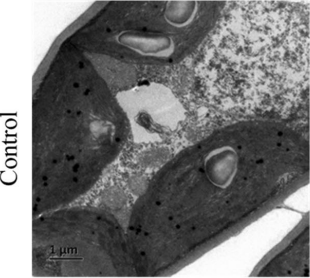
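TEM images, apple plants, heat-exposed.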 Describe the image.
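This electron micrograph shows parts of leaf mesophyll cells with several chloroplasts surrounding a region of cytoplasm. The chloroplasts are elongated, lens-shaped bodies filled with dark, closely packed membranes arranged in parallel layers. Pale oval inclusions lie within some of the chloroplasts, and small black dots are scattered through them. Between the chloroplasts the cytoplasm is finely granular, with a small clear vacuole near the centre. Cell walls appear as thin grey bands at the edges.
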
